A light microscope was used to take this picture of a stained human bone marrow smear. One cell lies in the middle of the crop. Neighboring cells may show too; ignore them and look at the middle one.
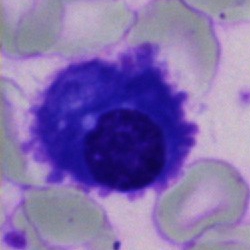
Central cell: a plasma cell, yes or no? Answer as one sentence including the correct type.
Yes, the cell at the heart of the crop is a plasma cell.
